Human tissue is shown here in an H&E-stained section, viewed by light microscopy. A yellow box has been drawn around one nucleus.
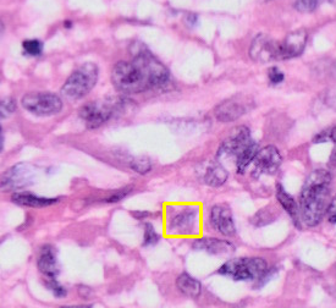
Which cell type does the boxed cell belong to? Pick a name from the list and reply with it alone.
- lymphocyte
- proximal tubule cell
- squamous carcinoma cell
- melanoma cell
melanoma cell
